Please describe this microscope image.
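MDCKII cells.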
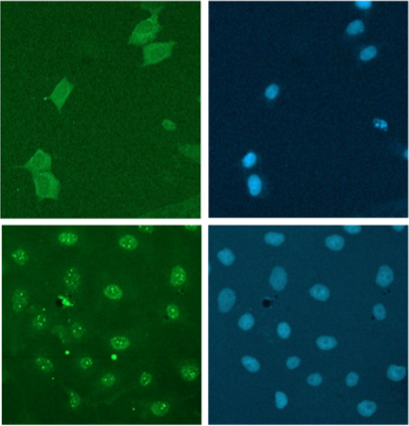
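These are cultured cells shown as paired green and blue fluorescence images, with the blue images marking one oval nucleus per cell. In the upper row the cells are sparse and flattened, with polygonal outlines, and the green fills the whole cell body. In the lower row the cells are more numerous and closely set, and the green is concentrated in the oval nuclei, often as bright speckles, with only faint green in the surrounding cytoplasm.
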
